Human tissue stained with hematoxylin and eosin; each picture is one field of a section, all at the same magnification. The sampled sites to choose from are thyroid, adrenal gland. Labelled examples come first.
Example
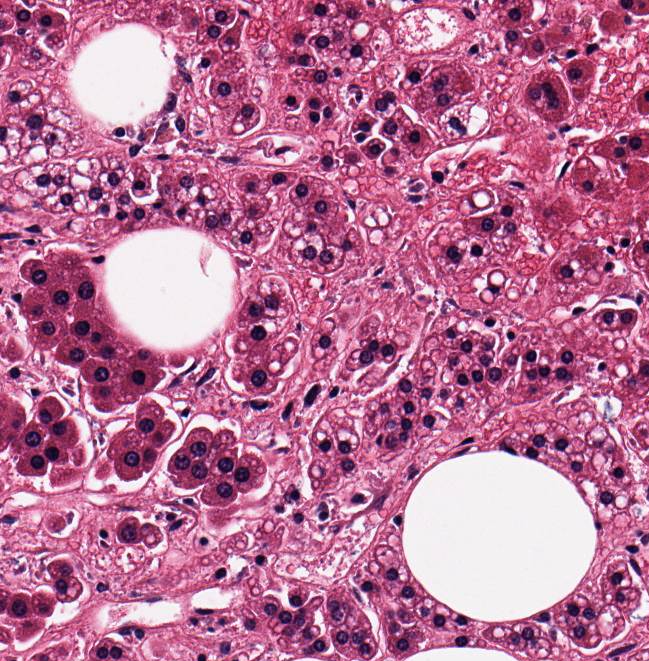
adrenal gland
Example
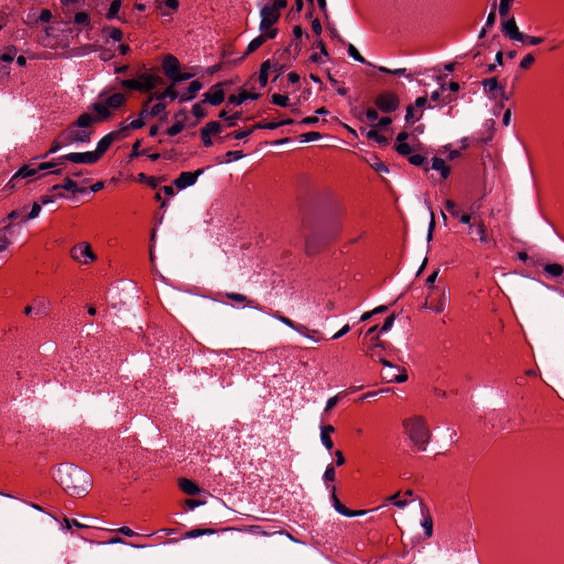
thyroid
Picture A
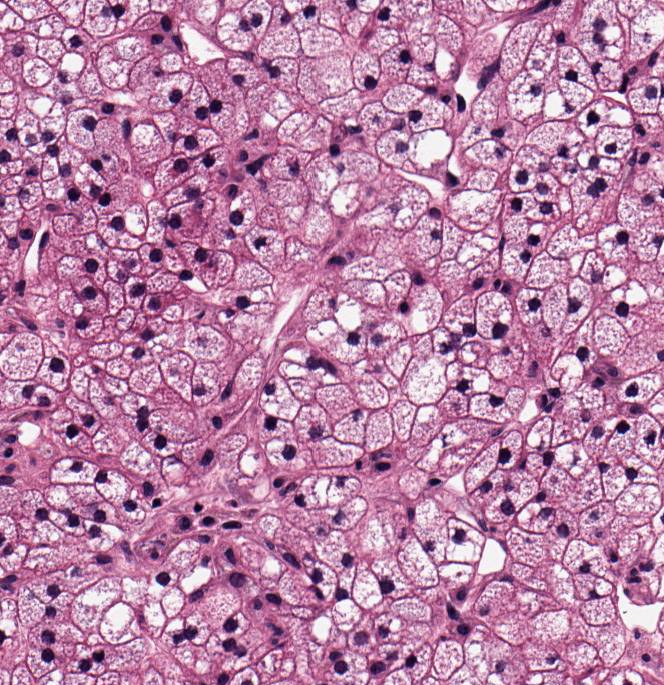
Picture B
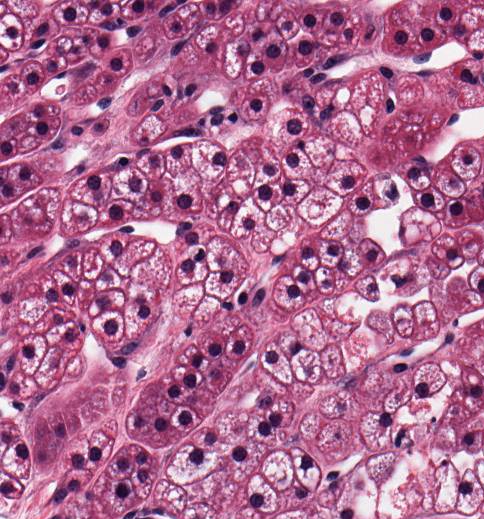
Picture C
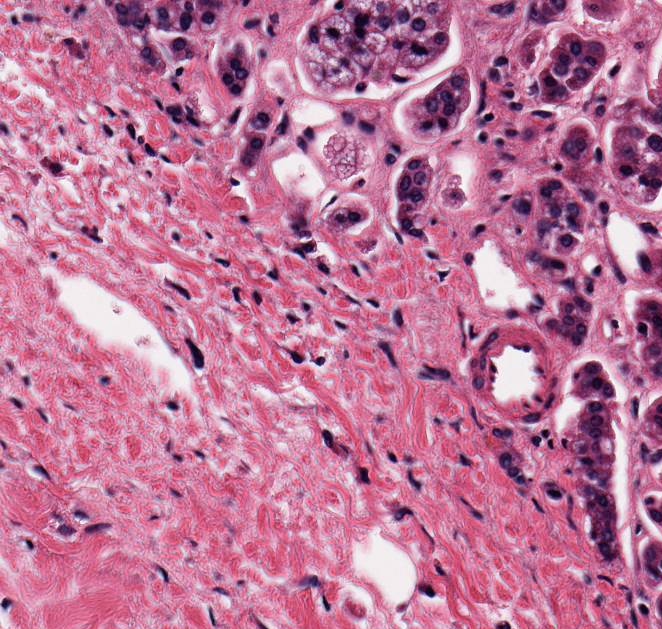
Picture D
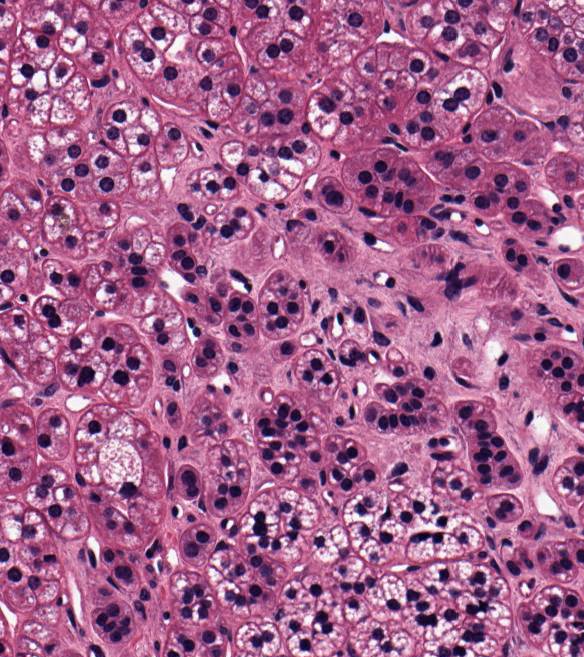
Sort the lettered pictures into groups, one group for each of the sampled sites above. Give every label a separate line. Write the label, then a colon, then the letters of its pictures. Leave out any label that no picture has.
adrenal gland: A, B, C, D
